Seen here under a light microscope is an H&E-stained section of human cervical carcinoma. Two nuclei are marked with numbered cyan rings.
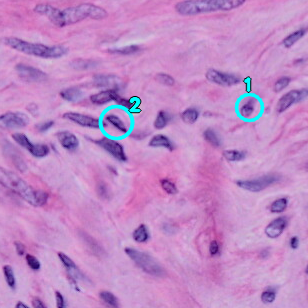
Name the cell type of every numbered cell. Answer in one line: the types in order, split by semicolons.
smooth muscle cell; fibroblast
